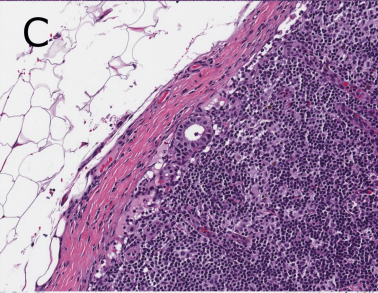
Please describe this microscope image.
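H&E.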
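Edge of a lymph node with isolated tumor cells beneath the capsule. Pale adipose cells lie outside a band of pink fibrous capsule. Just inside the capsule a tiny ring of larger cells with paler cytoplasm surrounds a small round lumen. Densely packed small round lymphocytes with dark nuclei fill the rest of the field.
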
